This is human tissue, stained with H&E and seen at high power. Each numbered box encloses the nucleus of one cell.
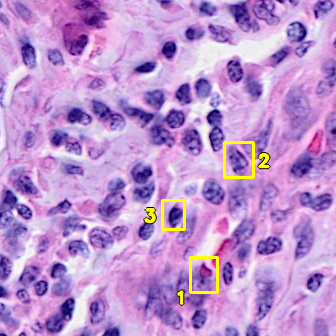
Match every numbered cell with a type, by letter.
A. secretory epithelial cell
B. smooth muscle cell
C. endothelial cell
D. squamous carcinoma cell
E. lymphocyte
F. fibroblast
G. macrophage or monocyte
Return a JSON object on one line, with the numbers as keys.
{"1": "C", "2": "E", "3": "E"}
